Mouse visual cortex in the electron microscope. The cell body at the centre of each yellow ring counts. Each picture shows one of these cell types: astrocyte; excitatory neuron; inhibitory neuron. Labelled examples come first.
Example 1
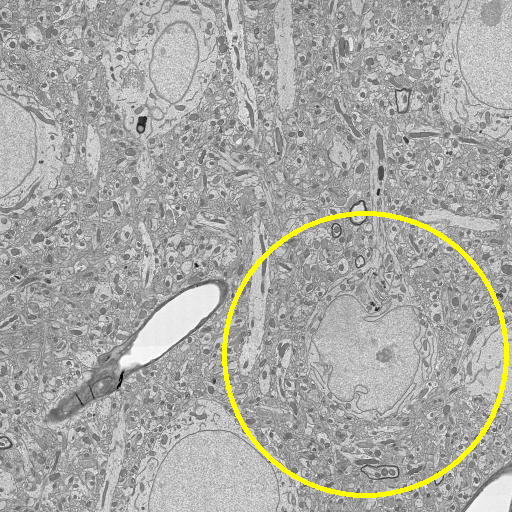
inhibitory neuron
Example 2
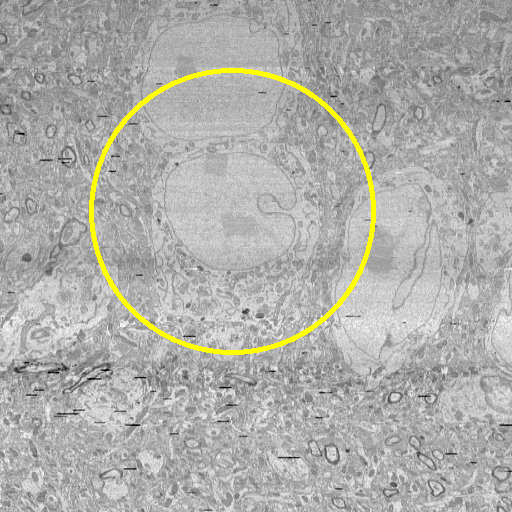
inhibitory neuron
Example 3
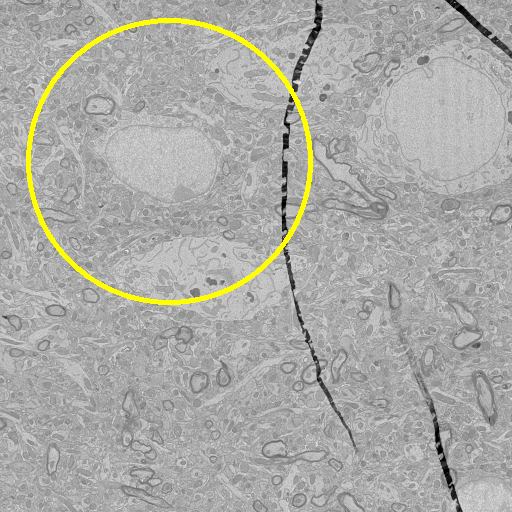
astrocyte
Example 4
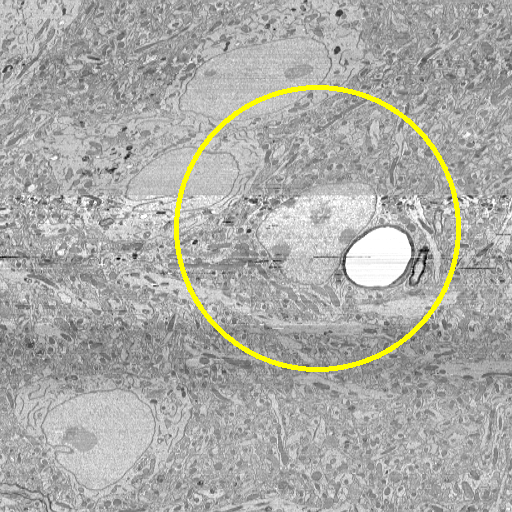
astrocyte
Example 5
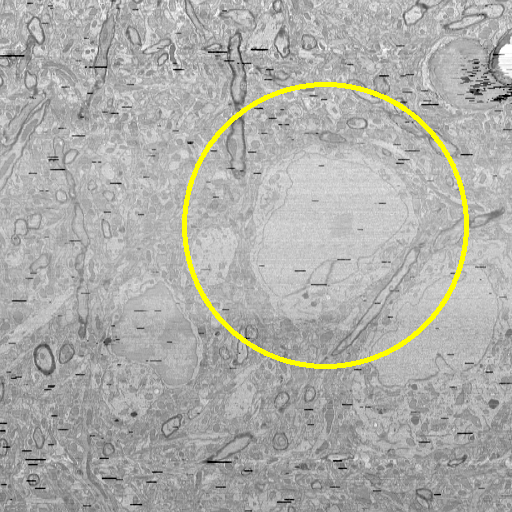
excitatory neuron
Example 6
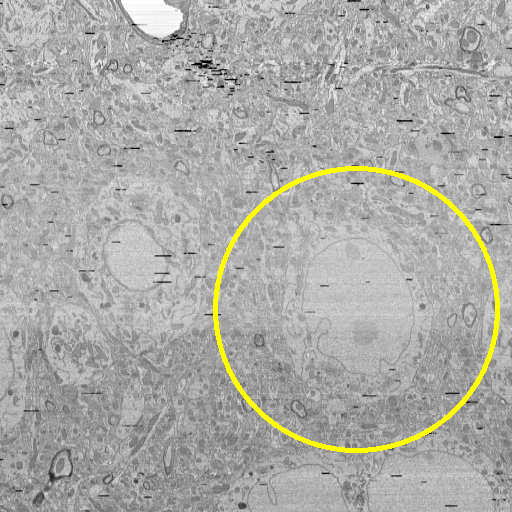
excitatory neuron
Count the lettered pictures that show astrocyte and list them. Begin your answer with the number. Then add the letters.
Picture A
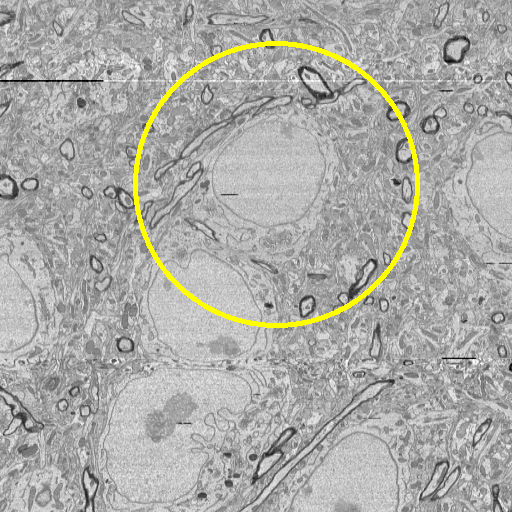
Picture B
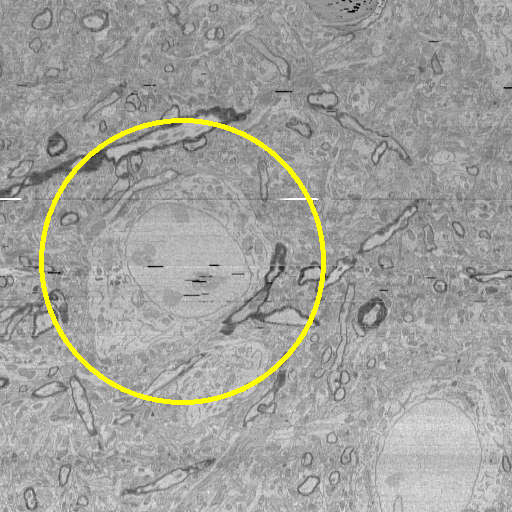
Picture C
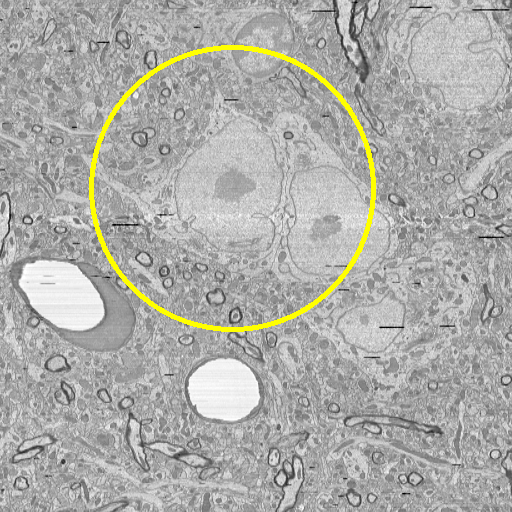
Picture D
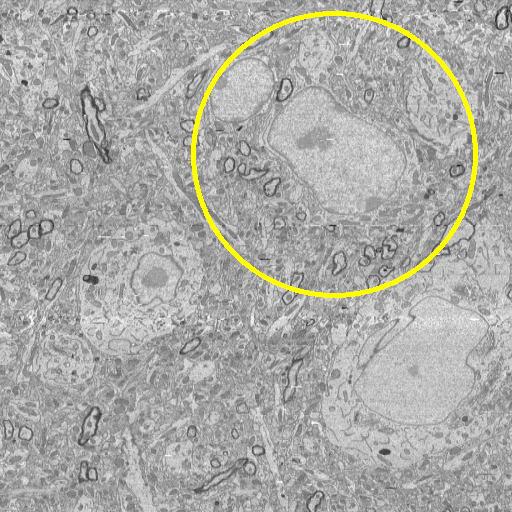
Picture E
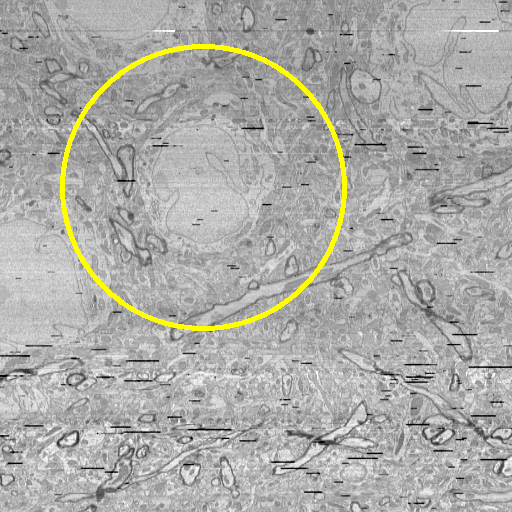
1, namely D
